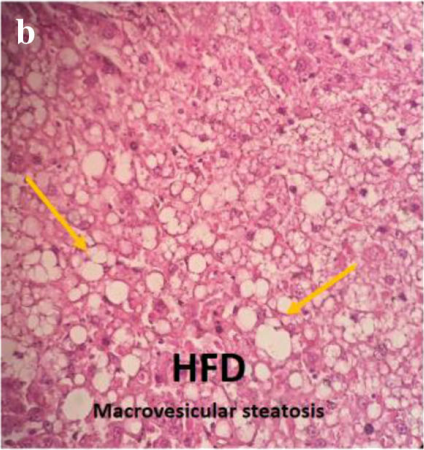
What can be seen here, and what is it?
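Liver tissue in which many hepatocytes contain round, empty-looking clear vacuoles of varying size, some large enough to fill most of the cell and push the nucleus aside, others small and clustered. Between the vacuolated cells lie hepatocytes with pink cytoplasm and round purple nuclei. The regular plate arrangement of the liver cells is disturbed by the vacuoles, and the cytoplasm of many cells appears pale.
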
